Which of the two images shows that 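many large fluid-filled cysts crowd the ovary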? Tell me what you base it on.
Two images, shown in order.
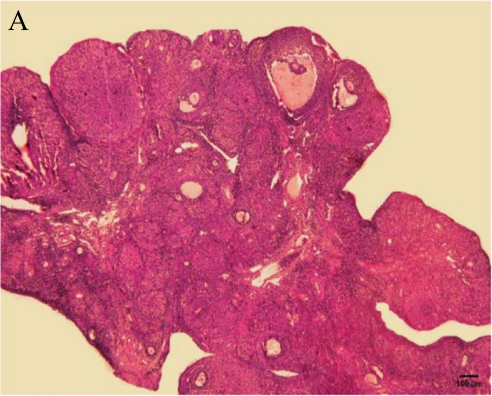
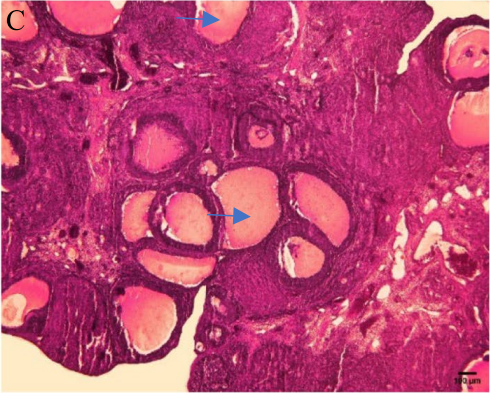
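The second image. Second image: many large, thin-walled cavities full of pale pink fluid occupy much of the section. First image: the ovary is made of solid cellular tissue with follicles of various sizes and only a few small cavities.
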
